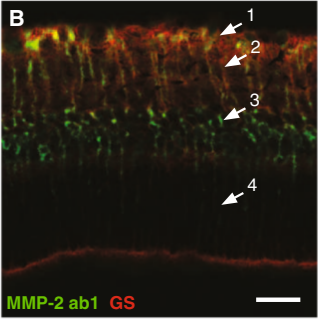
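This vertical section of retina shows radial glial cells spanning the retinal layers. Bright swollen end feet line the inner surface at the nerve fibre and ganglion cell layers, where green and red overlap to give yellow. From these end feet thin radial processes run outward in parallel through the inner plexiform layer to cell bodies in the inner nuclear layer. Beyond the outer plexiform layer the processes are only faintly visible as they cross the outer nuclear layer. A red band marks the outer margin near the photoreceptor layer.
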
